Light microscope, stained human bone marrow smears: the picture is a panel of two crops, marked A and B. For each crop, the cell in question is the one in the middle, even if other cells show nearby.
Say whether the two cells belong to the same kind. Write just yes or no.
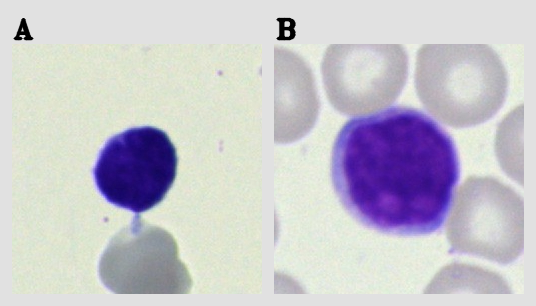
yes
